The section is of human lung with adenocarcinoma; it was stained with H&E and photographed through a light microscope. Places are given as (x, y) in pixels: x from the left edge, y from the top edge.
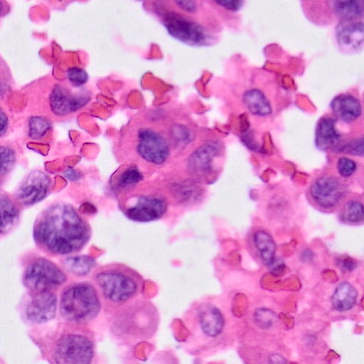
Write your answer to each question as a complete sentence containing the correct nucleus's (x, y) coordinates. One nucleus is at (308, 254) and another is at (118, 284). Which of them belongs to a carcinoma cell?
Between the pair, the nucleus at (118, 284) belongs to a carcinoma cell.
